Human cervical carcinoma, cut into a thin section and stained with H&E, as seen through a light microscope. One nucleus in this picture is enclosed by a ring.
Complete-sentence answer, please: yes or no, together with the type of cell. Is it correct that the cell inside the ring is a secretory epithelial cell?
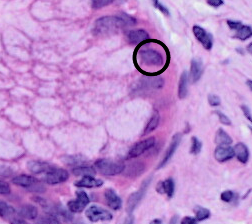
Yes, a secretory epithelial cell is what the cell inside the ring is in this section.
